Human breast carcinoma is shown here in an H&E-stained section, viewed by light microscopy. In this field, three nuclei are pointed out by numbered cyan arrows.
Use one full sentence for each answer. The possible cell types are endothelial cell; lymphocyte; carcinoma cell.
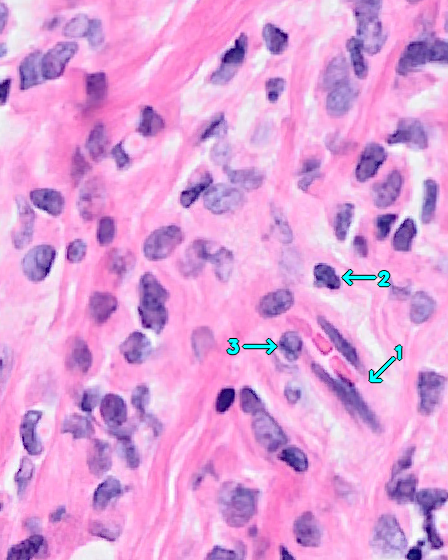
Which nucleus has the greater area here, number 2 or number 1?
At about 1.5 times the area of nucleus 2, nucleus 1 is the larger of the two.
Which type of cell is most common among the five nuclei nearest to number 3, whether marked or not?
Around number 3, most of the five nearest nuclei are those of endothelial cells.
